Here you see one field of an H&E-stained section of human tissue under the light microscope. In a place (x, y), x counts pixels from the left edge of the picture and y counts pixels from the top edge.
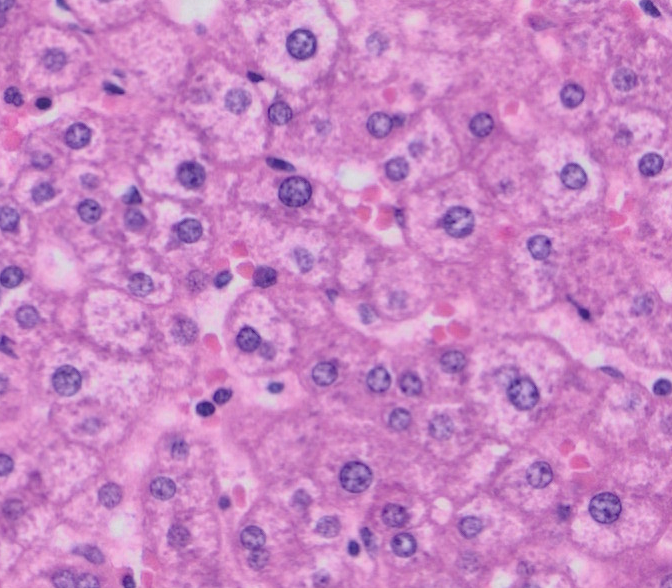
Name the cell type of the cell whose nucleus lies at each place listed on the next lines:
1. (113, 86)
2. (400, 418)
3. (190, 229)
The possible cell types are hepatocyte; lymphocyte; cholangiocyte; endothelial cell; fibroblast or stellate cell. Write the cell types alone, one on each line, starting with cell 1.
endothelial cell
hepatocyte
hepatocyte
